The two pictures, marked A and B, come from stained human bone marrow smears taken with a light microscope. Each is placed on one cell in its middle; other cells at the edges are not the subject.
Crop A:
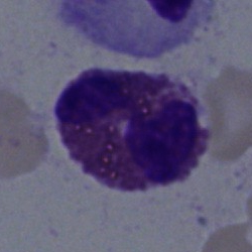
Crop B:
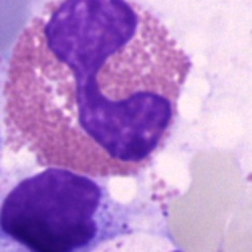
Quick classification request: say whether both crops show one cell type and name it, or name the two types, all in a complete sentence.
Yes, the central cells in both of the crops are eosinophils.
